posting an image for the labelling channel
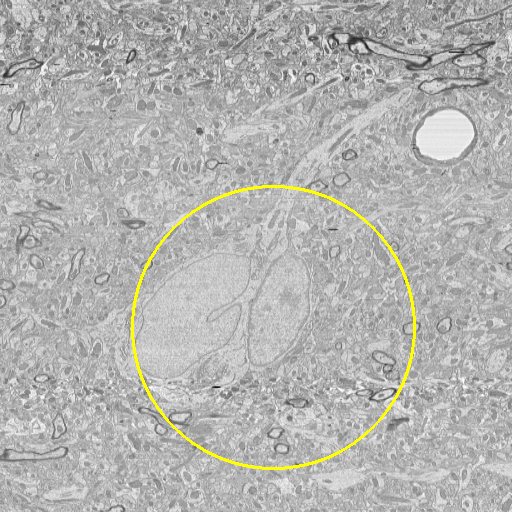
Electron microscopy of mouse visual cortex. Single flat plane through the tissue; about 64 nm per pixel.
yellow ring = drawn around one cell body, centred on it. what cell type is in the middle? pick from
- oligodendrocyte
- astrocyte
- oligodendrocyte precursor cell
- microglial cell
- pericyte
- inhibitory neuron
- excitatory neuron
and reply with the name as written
oligodendrocyte precursor cell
